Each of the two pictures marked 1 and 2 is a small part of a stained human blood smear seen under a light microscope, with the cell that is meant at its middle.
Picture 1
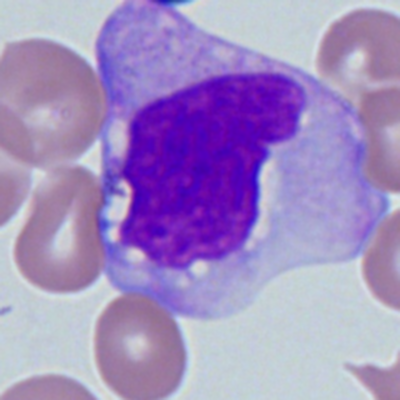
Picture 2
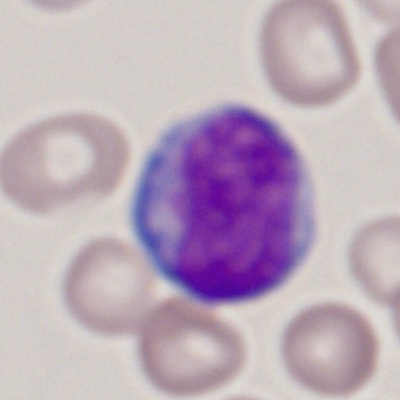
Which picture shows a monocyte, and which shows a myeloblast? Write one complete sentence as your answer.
In picture 1 the cell is a monocyte; in picture 2, a myeloblast.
